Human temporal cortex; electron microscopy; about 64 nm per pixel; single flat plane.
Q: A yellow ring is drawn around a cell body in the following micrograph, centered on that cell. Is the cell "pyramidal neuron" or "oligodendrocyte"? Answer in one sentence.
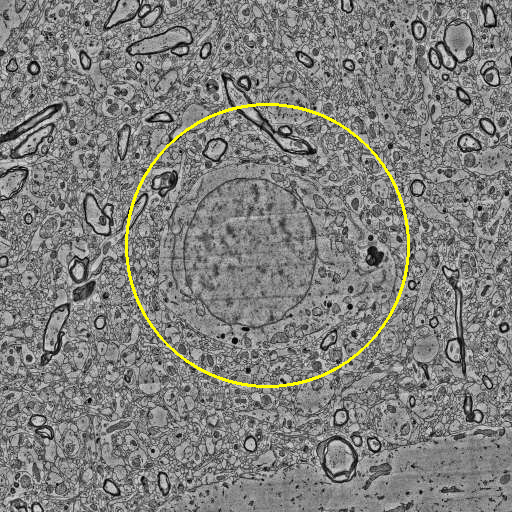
The cell in the center of the ring is a pyramidal neuron.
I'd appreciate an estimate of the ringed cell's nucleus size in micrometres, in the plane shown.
The ringed cell's nucleus is about 9 micrometres across in this plane.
